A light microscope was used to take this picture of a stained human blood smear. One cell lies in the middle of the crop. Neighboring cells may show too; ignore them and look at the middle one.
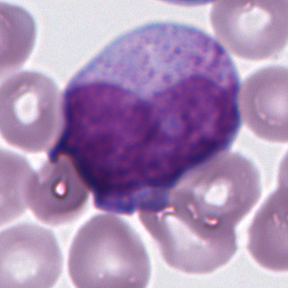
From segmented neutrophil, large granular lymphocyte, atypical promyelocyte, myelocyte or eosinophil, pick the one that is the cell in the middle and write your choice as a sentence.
The middle of this crop is occupied by an atypical promyelocyte.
